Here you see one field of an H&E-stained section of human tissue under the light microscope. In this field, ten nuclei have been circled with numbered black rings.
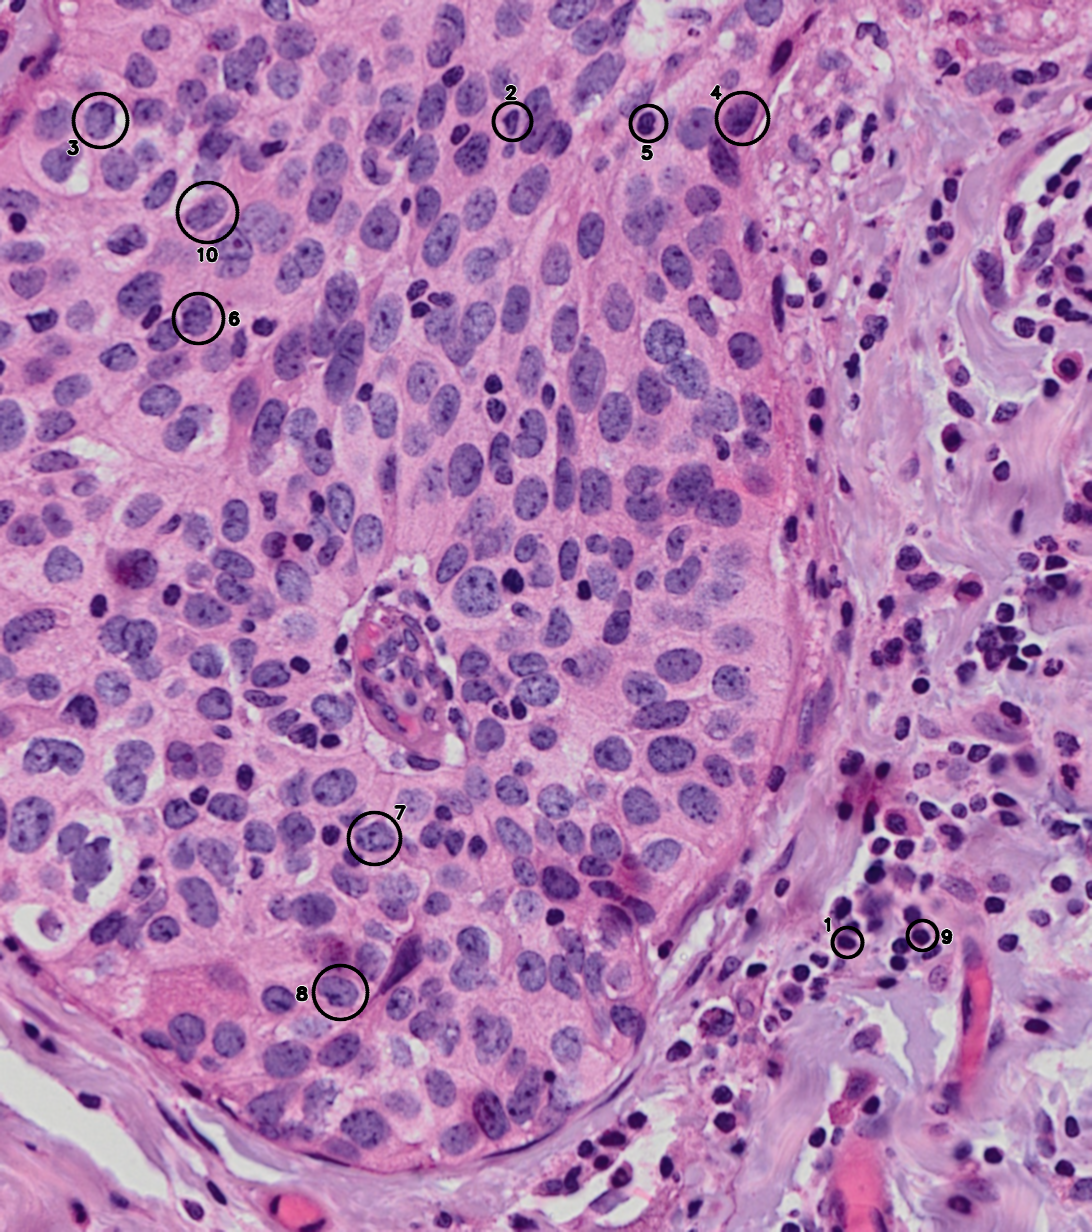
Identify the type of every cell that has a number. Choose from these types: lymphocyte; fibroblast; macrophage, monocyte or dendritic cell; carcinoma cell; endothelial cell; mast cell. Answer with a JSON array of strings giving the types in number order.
["lymphocyte", "lymphocyte", "carcinoma cell", "carcinoma cell", "lymphocyte", "carcinoma cell", "carcinoma cell", "carcinoma cell", "lymphocyte", "carcinoma cell"]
